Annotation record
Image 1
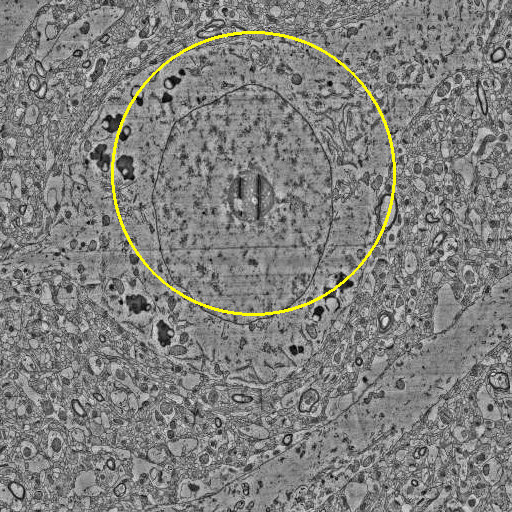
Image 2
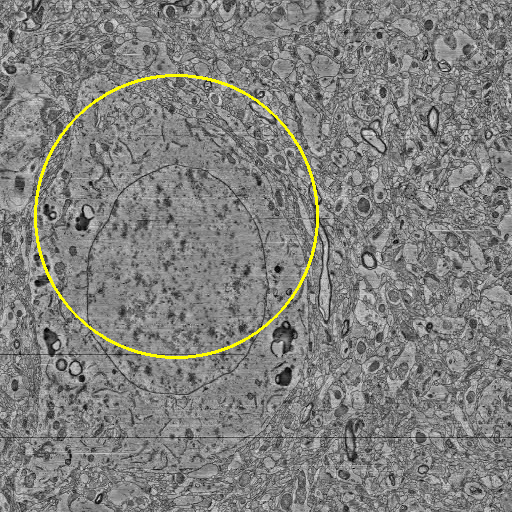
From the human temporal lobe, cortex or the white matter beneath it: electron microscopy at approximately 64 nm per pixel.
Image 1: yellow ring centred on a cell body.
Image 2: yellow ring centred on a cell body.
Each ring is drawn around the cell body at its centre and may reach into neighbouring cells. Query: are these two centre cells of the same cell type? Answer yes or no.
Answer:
yes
